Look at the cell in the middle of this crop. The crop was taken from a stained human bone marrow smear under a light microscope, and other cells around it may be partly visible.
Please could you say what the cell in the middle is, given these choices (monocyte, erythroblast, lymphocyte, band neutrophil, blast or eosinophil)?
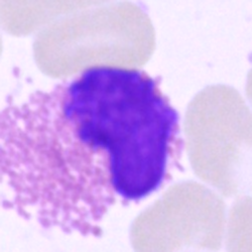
eosinophil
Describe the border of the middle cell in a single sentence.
The margin of this cell is irregular, showing raggedness or projections instead of smoothness.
